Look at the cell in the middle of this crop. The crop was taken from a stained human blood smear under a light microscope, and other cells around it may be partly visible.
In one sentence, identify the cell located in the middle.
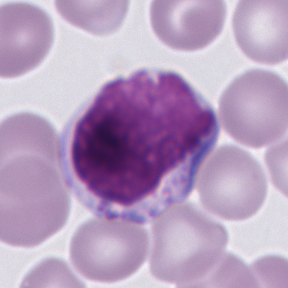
Of the cells in this crop, the central one is a large granular lymphocyte.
